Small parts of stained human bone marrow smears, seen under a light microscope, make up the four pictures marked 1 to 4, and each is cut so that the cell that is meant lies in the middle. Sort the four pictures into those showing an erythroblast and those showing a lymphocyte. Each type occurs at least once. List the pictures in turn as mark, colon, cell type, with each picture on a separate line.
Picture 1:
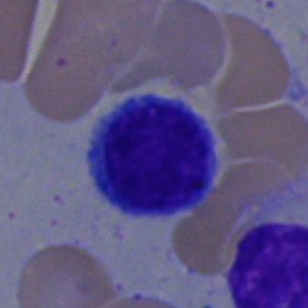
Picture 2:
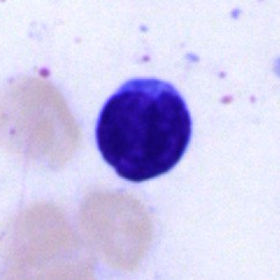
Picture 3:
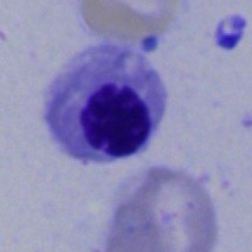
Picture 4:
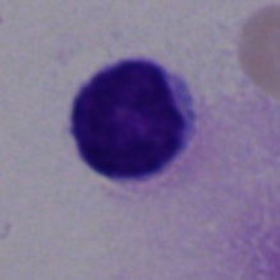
1: lymphocyte
2: lymphocyte
3: erythroblast
4: lymphocyte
